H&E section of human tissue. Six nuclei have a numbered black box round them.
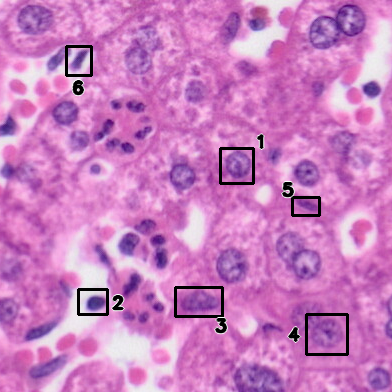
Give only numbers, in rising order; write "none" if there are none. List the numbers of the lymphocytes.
2, 6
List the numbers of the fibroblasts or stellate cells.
5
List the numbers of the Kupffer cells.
3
